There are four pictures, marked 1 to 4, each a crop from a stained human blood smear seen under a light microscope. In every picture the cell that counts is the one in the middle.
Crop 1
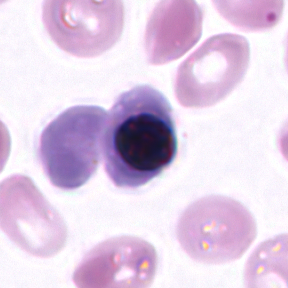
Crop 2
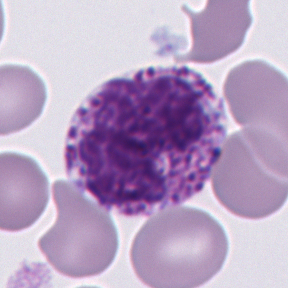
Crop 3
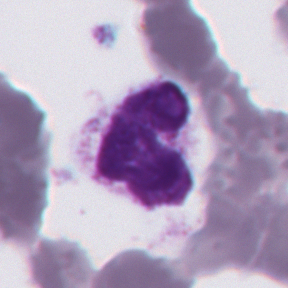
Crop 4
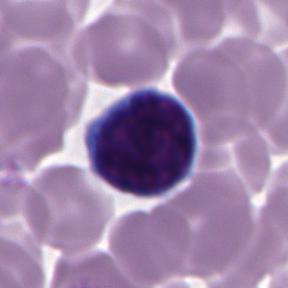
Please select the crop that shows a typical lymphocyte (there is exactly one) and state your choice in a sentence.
Among these crops, crop 4 holds a typical lymphocyte.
